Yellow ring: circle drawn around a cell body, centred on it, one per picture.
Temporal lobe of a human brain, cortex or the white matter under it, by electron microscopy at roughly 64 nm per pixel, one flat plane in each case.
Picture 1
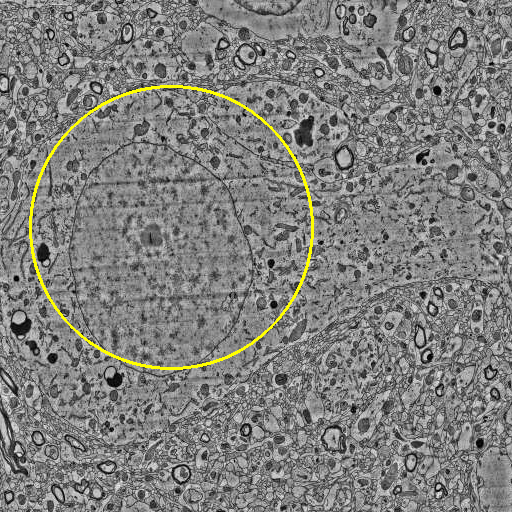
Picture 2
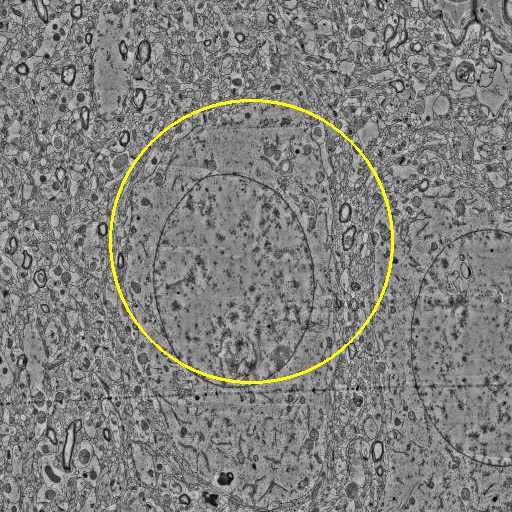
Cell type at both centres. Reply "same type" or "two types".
same type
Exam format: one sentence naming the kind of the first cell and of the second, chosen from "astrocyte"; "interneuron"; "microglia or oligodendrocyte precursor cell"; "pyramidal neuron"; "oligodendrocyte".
In the first picture and in the second, the ring is centred on a pyramidal neuron.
